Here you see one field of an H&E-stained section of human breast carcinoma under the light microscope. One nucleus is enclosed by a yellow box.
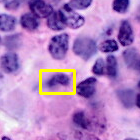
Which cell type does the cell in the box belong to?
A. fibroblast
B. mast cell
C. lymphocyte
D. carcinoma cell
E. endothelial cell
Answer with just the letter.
C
